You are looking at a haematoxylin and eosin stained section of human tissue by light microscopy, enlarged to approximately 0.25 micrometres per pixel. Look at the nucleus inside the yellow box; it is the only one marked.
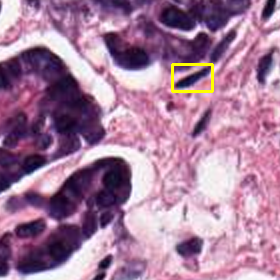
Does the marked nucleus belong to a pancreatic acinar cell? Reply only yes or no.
no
